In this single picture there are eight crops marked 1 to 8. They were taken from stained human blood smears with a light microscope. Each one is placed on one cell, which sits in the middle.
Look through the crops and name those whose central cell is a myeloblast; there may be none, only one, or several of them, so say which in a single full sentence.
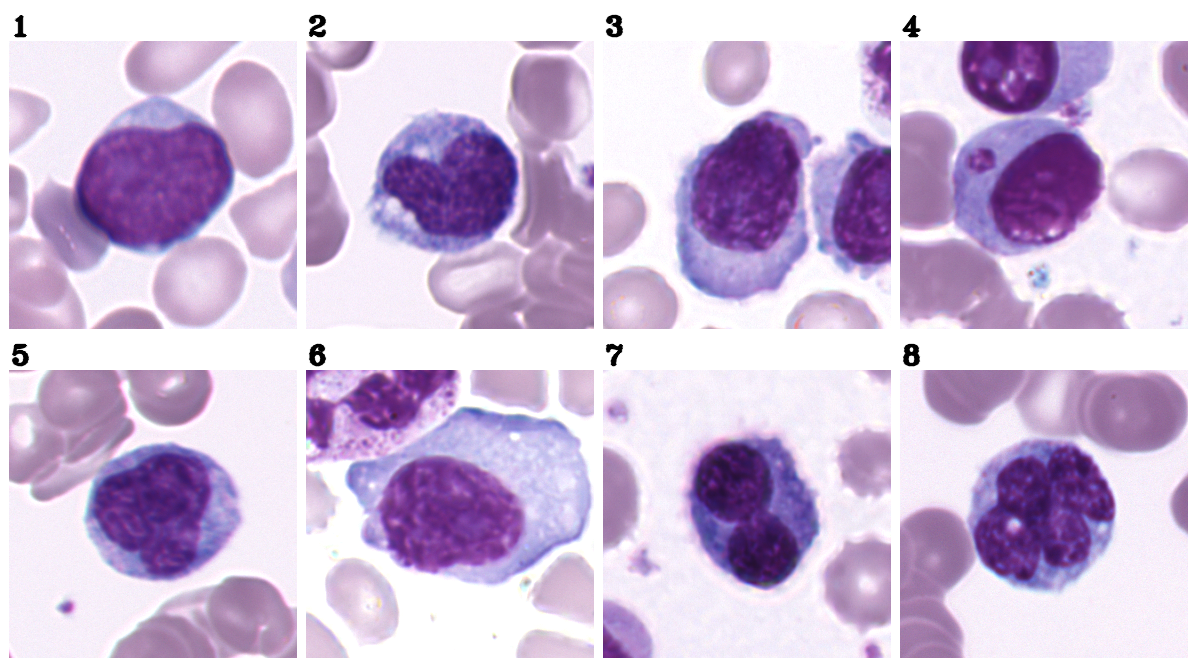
The set contains a single crop with a myeloblast, and it is crop 1.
